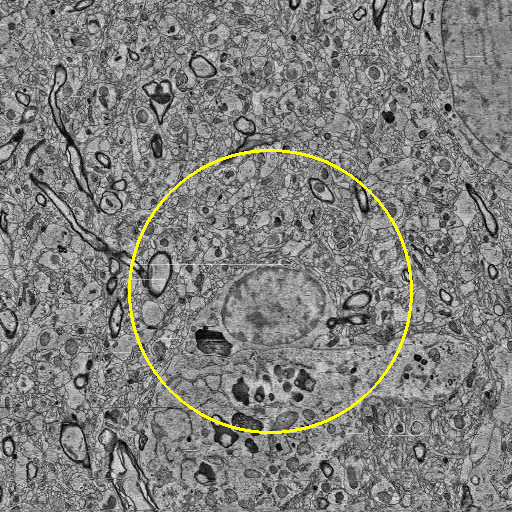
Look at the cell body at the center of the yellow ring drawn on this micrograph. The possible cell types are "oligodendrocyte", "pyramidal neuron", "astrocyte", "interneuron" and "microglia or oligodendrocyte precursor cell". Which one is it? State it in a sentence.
The cell in the middle of the ring is an oligodendrocyte.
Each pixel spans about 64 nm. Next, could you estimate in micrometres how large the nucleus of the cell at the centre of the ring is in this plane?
The nucleus appears roughly 7 by 5 micrometres in this plane.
